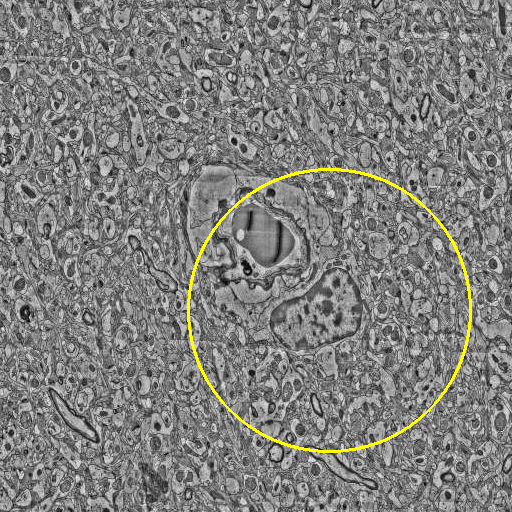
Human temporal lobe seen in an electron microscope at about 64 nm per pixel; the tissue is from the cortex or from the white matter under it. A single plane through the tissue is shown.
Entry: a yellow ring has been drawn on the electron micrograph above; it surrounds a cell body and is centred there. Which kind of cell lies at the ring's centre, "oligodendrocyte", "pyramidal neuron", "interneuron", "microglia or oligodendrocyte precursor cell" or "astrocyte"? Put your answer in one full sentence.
The cell sitting at the ring's centre is a microglial cell or oligodendrocyte precursor cell in the micrograph above.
